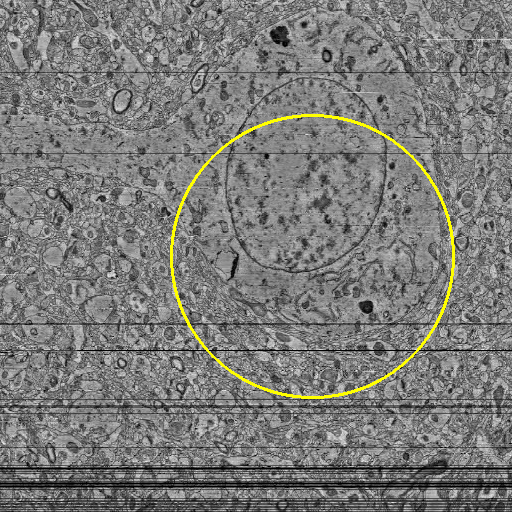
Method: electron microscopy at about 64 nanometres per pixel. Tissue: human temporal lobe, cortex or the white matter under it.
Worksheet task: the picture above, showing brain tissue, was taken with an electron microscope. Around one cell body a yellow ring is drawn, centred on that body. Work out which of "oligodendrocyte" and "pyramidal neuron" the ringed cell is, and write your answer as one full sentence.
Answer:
It is a pyramidal neuron whose cell body lies at the centre of the yellow ring.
